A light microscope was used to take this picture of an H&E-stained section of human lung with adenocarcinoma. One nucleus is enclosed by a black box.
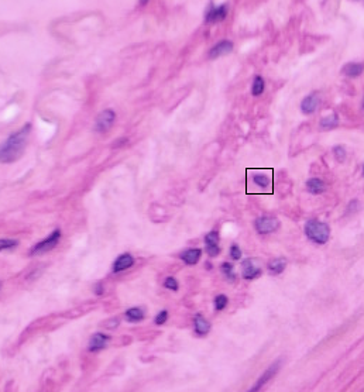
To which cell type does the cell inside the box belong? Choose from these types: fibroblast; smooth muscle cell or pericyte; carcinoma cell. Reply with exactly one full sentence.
In this preparation, the cell inside the box is a smooth muscle cell or pericyte.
